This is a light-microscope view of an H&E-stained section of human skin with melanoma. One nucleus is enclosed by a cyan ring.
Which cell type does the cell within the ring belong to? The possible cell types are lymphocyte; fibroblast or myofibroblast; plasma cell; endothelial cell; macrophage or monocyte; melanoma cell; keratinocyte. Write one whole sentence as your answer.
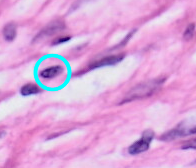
As a matter of cell type, the cell within the ring is a lymphocyte.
